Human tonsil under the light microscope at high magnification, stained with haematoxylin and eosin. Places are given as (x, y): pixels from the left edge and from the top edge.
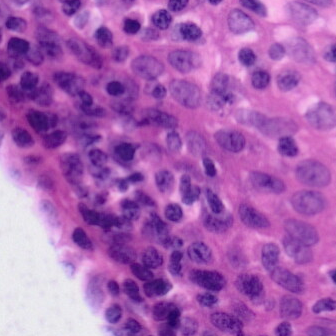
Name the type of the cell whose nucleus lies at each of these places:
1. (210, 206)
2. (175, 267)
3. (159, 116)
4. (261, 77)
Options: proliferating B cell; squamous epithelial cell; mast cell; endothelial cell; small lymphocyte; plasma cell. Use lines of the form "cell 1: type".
cell 1: squamous epithelial cell
cell 2: squamous epithelial cell
cell 3: squamous epithelial cell
cell 4: plasma cell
